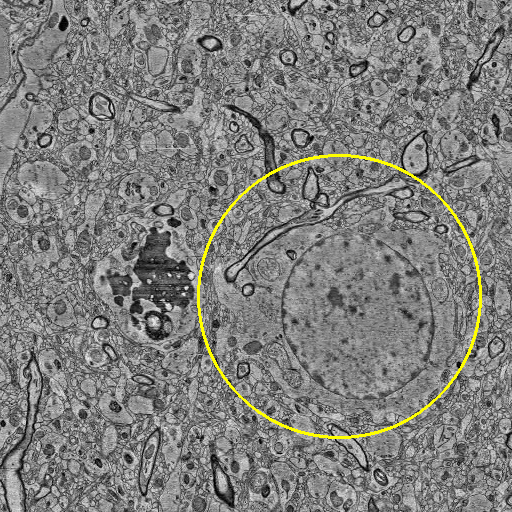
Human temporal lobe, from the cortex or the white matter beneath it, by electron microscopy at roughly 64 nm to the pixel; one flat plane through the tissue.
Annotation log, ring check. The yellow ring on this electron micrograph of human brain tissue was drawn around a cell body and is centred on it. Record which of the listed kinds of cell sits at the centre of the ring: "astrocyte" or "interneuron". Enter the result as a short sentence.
The cell at the centre of the ring is an astrocyte.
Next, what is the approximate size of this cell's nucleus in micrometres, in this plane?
The ringed cell's nucleus measures approximately 11 by 9 micrometres in this plane.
